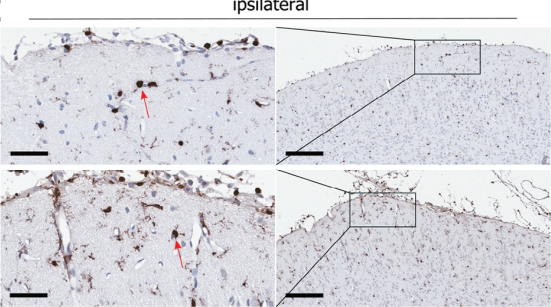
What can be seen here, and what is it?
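Superficial cerebral cortex with scattered dark brown cells on a pale blue-counterstained neuropil. Marked cells have rounded, enlarged, darkly stained bodies with few short processes, while others show small bodies with fine ramified branches. Stained cells cluster near the brain surface and along vessels; loose meningeal tissue with elongated nuclei lies above. Pale blue nuclei of unstained cells lie between. Low-power views show many dispersed stained cells across the cortex, denser near the surface.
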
